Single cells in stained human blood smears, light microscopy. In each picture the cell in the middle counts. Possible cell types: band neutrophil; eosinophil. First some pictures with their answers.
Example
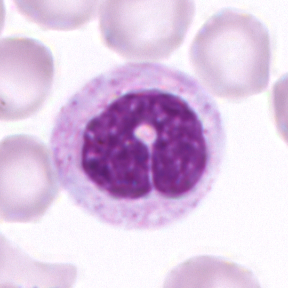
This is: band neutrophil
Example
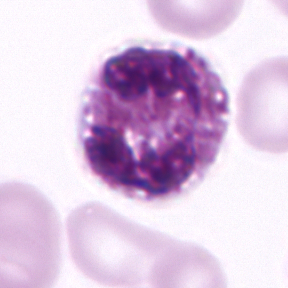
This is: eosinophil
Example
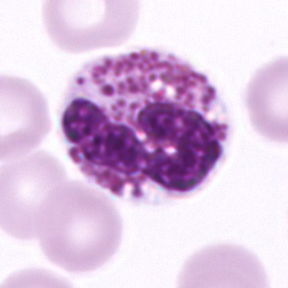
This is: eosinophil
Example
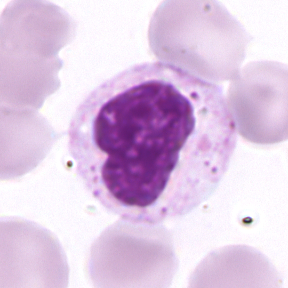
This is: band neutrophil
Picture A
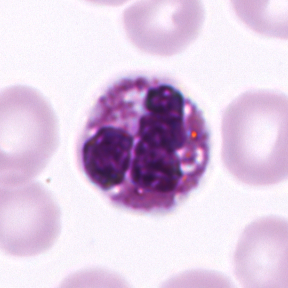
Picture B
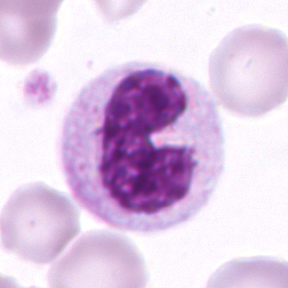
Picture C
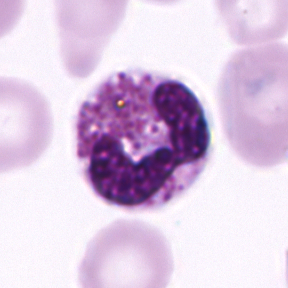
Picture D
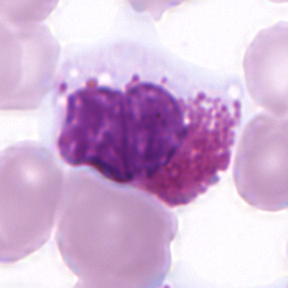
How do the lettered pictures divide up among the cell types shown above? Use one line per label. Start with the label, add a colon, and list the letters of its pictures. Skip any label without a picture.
band neutrophil: B
eosinophil: A, C, D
